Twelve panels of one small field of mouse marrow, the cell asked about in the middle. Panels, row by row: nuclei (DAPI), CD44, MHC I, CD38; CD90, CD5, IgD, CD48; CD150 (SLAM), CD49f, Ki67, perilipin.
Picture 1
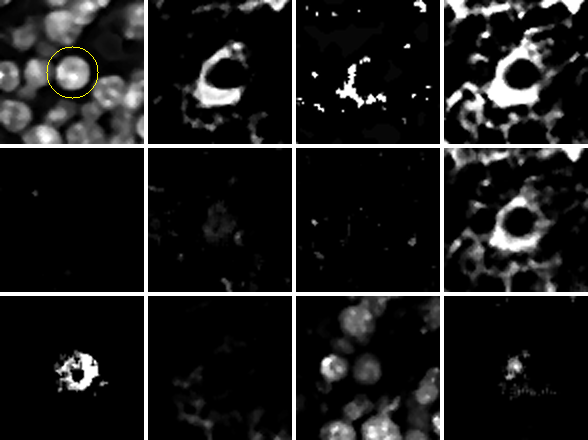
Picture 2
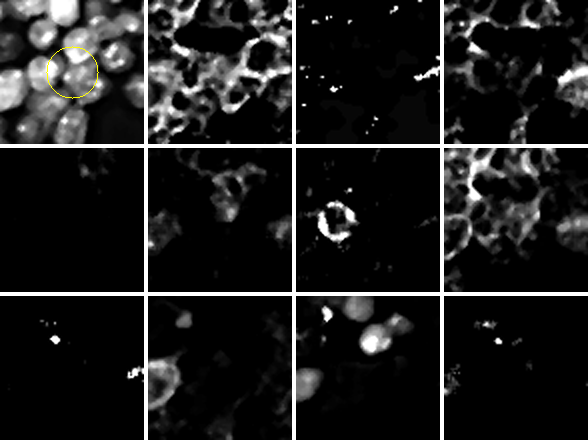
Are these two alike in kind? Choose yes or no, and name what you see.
Yes. Monocytes.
